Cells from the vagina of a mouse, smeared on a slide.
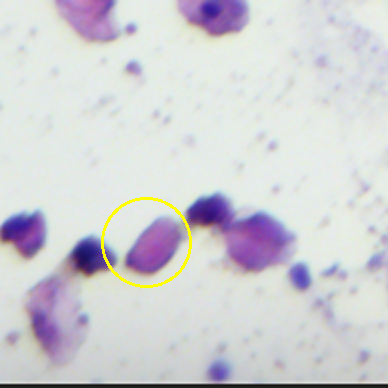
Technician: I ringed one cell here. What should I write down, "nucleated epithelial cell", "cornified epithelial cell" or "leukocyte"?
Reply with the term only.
cornified epithelial cell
